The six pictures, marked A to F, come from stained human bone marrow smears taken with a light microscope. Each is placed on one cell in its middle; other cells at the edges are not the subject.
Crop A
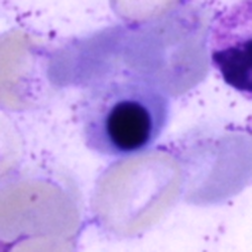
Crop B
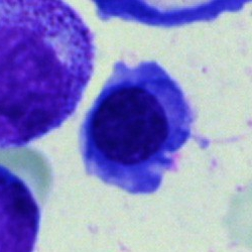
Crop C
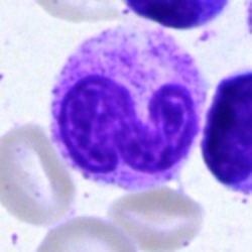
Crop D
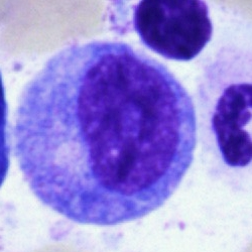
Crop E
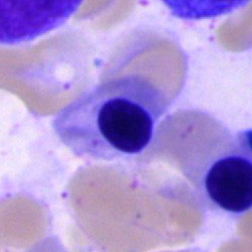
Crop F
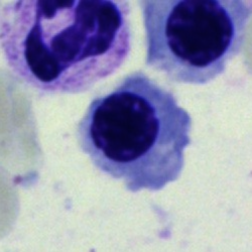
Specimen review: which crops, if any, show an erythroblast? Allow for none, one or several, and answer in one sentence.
Crops A, B, E and F show erythroblasts, going by the cell in the middle of each.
